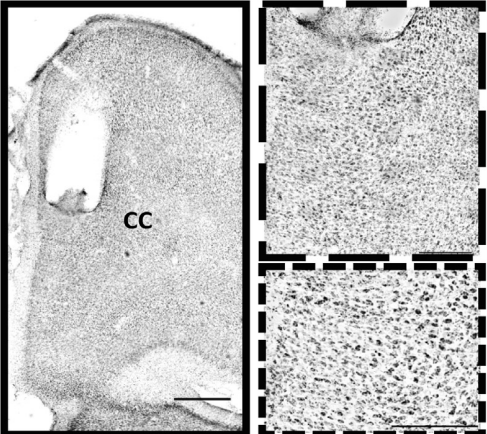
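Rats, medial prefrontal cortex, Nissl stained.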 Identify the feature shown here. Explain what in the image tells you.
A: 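An oval empty cavity sits in the upper part of the low-magnification section. A narrow track runs down from the tissue surface to the cavity. That points to this answer: cannula placement.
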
